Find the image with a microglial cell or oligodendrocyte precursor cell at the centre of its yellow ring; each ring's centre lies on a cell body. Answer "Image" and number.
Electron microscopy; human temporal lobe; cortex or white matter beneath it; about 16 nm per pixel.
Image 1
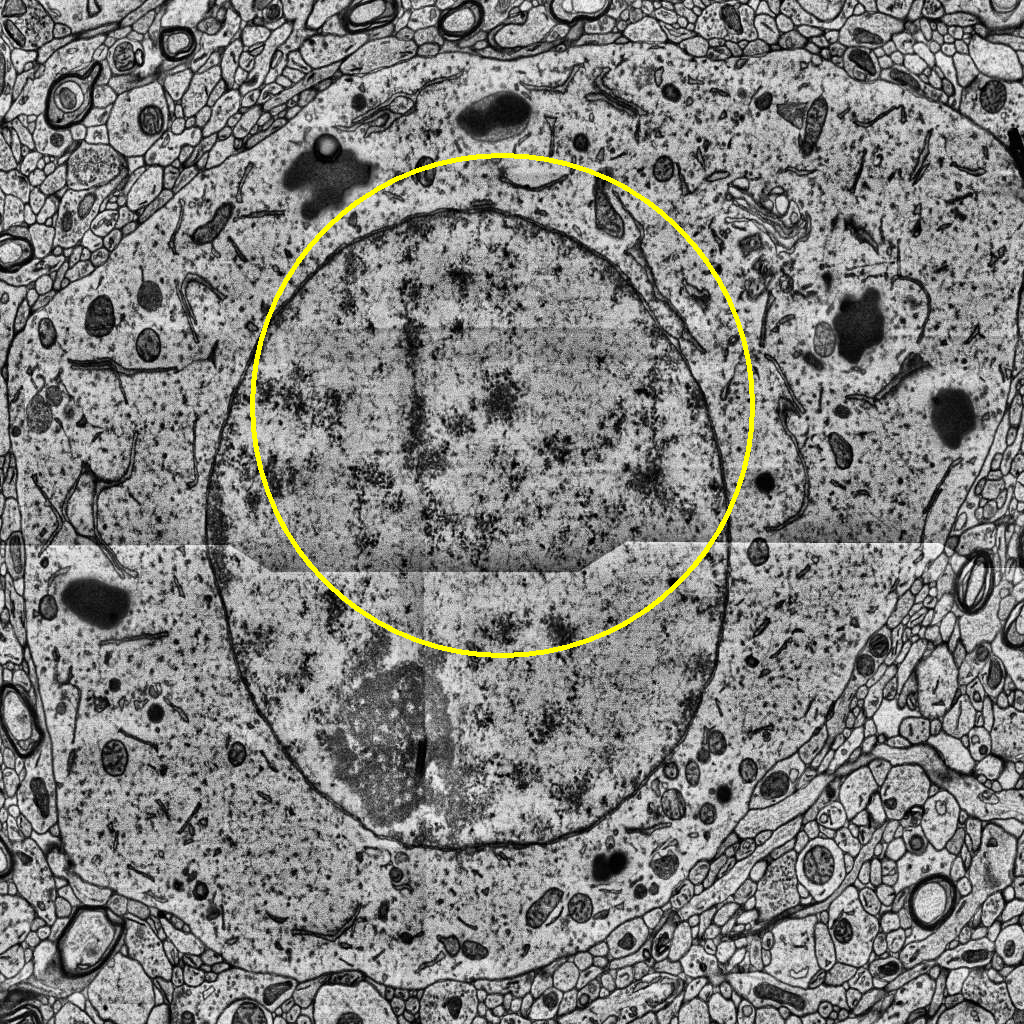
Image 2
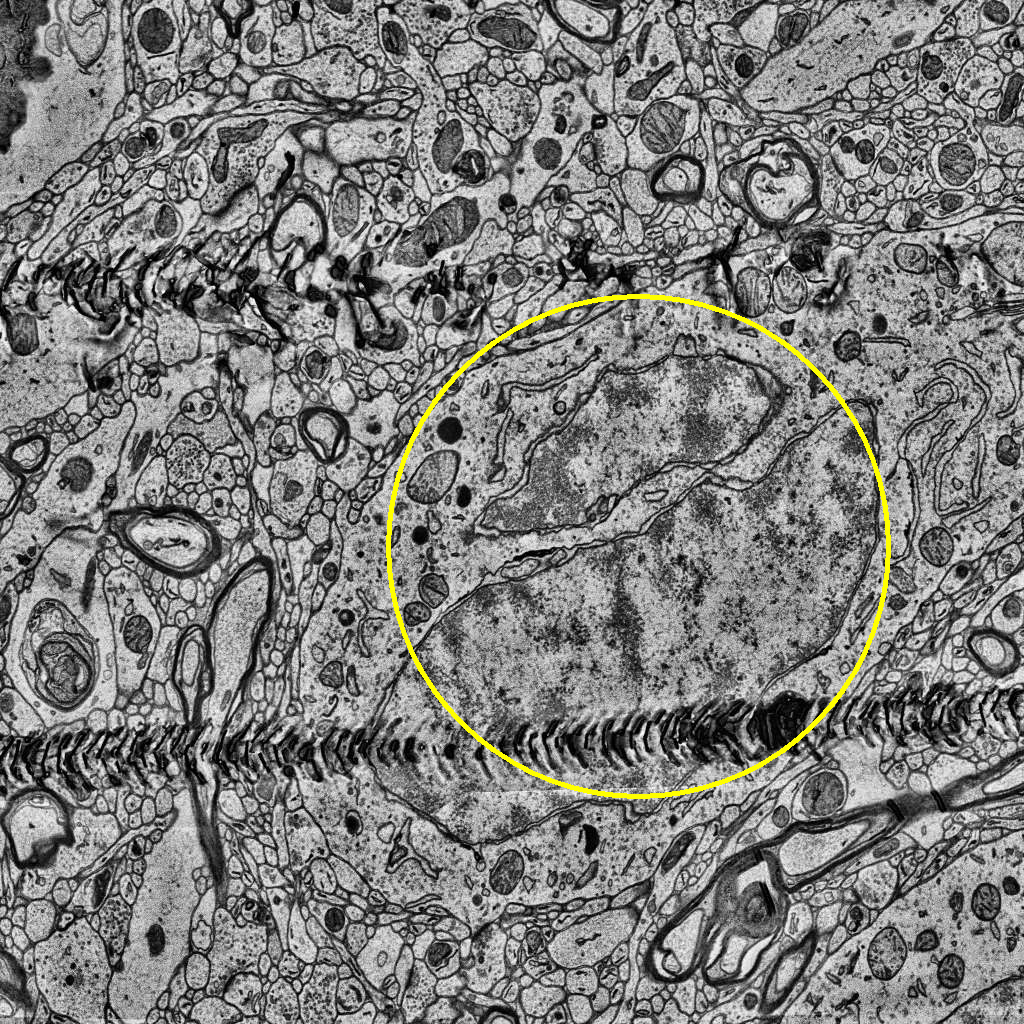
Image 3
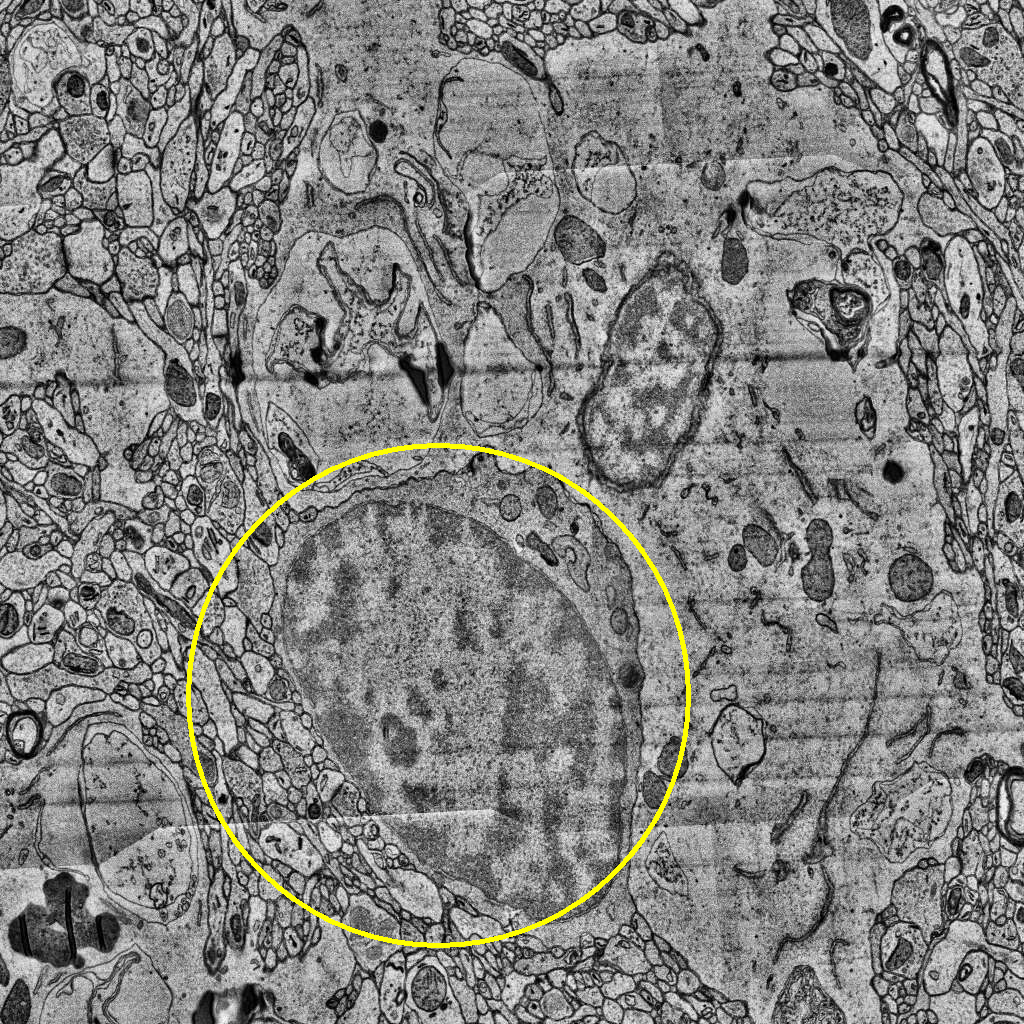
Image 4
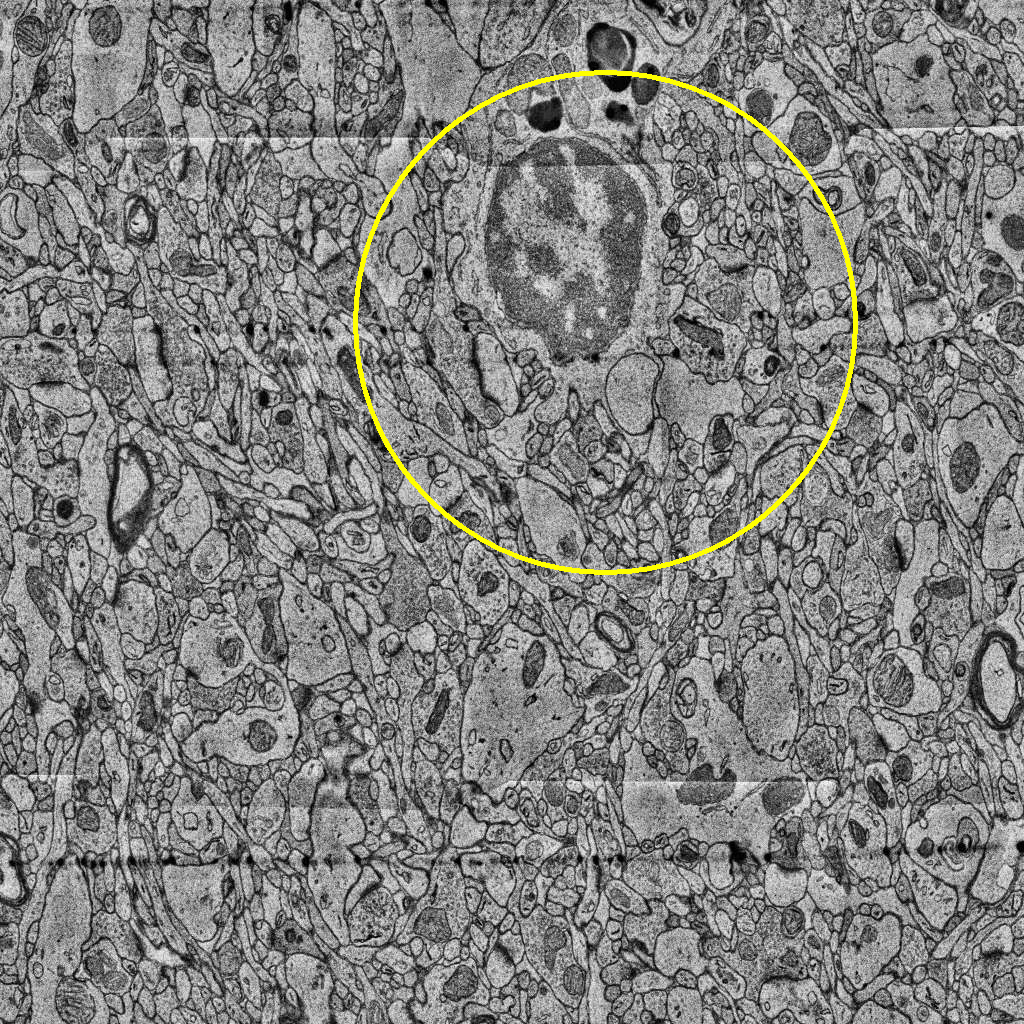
Image 4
